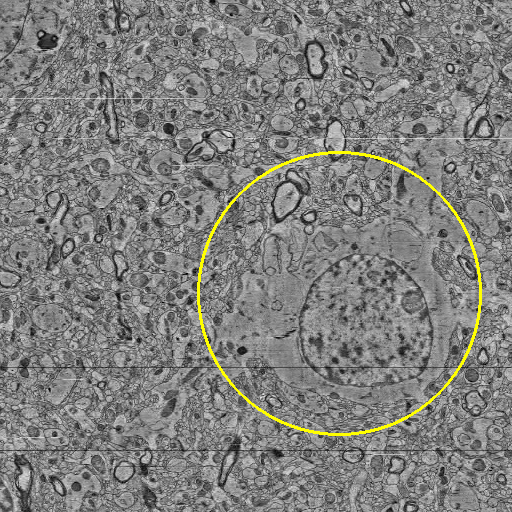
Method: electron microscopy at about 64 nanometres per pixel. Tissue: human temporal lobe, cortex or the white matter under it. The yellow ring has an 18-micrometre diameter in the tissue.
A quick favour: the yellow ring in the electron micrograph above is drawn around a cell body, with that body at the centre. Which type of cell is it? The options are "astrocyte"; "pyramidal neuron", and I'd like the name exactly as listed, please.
astrocyte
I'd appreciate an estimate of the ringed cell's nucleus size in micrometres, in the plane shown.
Roughly 9 micrometers across, in this plane.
